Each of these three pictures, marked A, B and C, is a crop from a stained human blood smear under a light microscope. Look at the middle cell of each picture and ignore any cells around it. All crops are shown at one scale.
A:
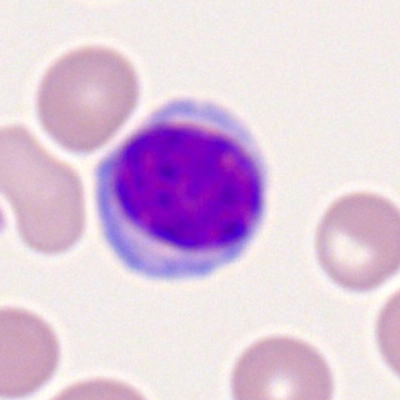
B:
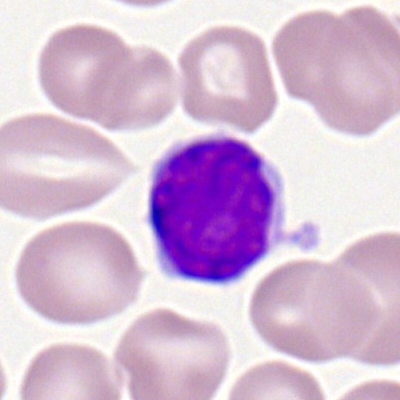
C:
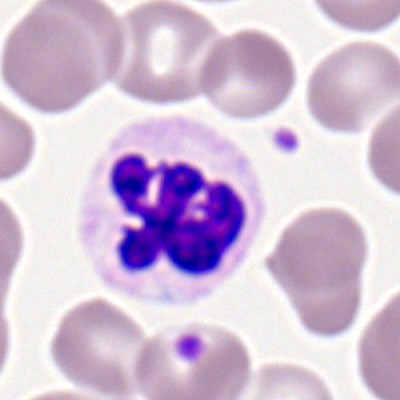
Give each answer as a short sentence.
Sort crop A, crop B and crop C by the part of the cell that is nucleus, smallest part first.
They run C, A, B, the least filled first.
